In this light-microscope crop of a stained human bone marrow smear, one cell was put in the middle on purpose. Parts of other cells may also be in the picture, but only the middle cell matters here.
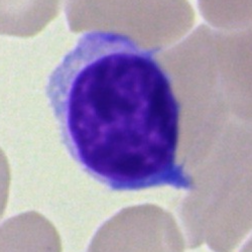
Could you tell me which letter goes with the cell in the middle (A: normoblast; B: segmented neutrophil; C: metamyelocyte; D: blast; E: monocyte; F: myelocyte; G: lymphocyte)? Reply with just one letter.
G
